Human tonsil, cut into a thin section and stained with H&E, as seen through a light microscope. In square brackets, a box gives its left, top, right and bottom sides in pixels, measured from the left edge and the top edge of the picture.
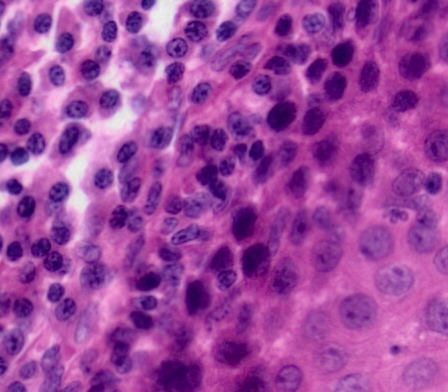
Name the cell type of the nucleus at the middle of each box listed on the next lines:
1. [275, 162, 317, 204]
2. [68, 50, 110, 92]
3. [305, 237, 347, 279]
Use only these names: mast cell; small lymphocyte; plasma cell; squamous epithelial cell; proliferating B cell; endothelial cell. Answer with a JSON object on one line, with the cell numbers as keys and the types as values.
{"1": "squamous epithelial cell", "2": "plasma cell", "3": "squamous epithelial cell"}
